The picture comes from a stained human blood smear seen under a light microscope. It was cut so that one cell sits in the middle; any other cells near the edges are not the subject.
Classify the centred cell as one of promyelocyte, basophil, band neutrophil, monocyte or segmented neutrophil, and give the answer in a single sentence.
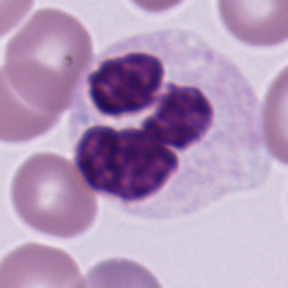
At the crop's centre, the cell is a segmented neutrophil.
